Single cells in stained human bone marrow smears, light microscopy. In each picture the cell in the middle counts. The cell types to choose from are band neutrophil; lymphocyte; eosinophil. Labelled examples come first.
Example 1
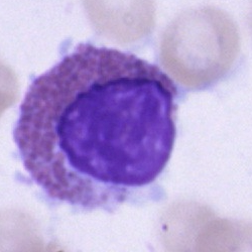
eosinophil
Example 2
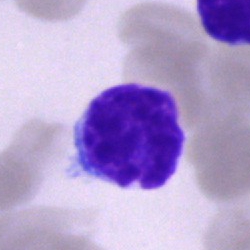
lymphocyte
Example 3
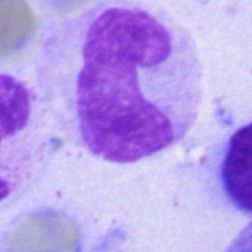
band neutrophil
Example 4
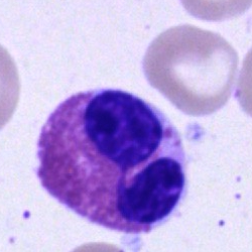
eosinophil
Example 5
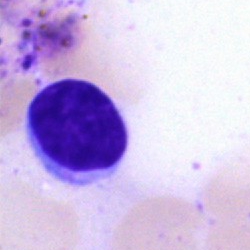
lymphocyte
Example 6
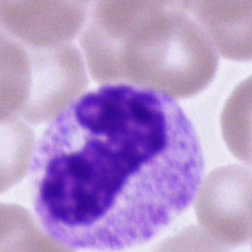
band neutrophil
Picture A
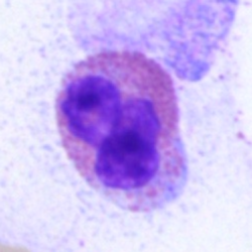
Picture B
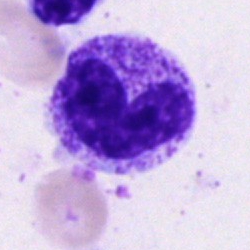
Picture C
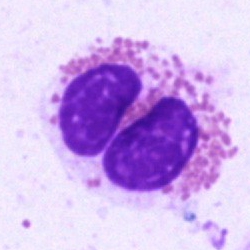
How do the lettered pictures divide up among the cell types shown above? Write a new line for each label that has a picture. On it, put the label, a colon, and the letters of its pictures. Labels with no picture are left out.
band neutrophil: B
eosinophil: A, C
